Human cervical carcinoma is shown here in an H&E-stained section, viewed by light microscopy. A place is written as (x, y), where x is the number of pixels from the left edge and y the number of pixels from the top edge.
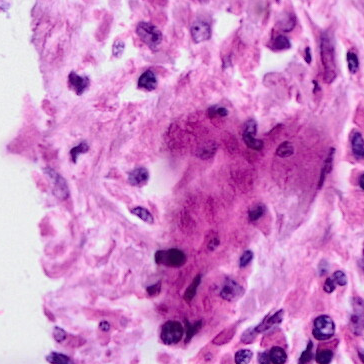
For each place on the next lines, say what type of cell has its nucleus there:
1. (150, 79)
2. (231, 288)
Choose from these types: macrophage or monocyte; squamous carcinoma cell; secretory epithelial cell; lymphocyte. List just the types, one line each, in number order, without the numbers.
lymphocyte
macrophage or monocyte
